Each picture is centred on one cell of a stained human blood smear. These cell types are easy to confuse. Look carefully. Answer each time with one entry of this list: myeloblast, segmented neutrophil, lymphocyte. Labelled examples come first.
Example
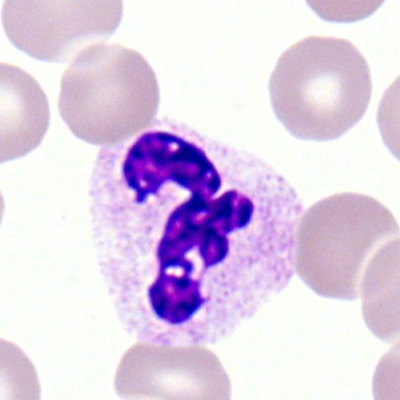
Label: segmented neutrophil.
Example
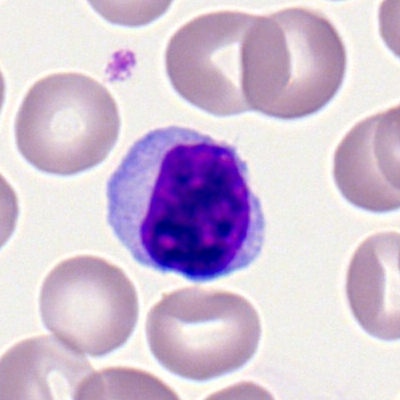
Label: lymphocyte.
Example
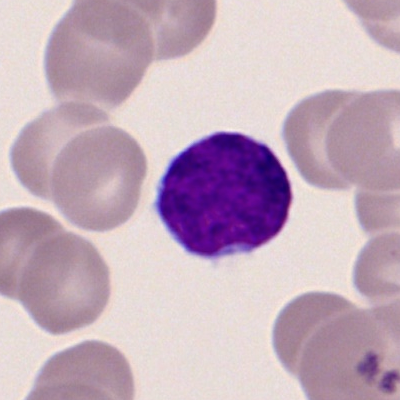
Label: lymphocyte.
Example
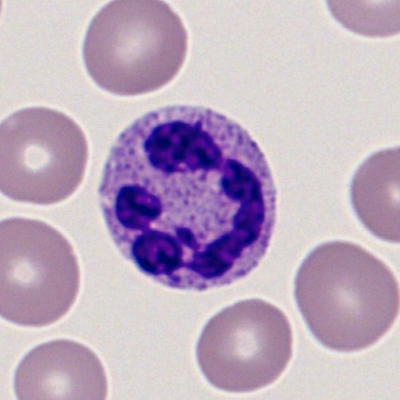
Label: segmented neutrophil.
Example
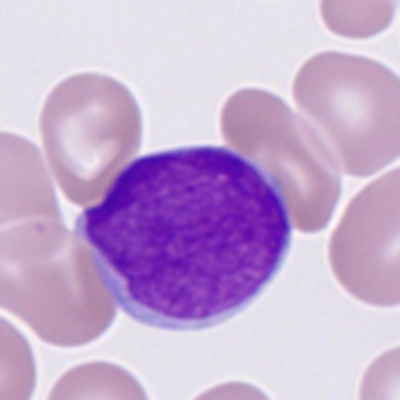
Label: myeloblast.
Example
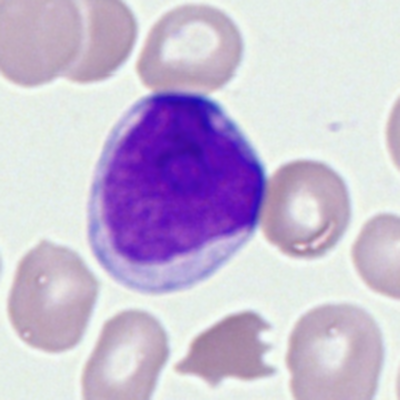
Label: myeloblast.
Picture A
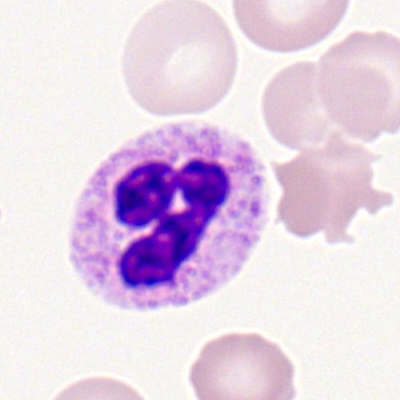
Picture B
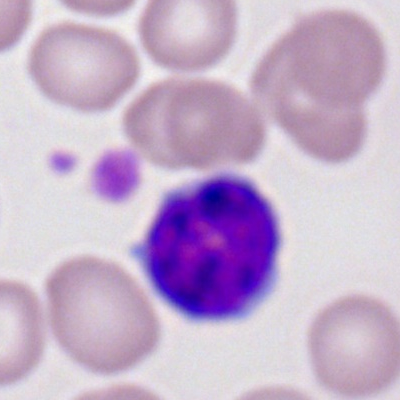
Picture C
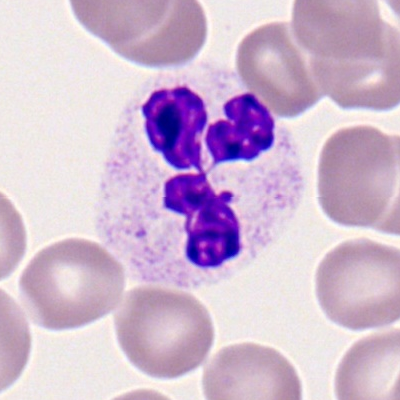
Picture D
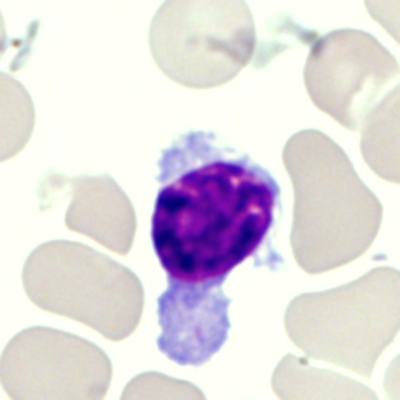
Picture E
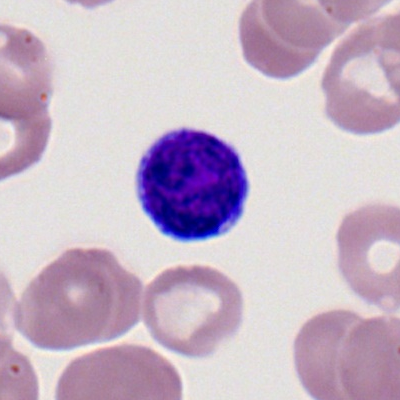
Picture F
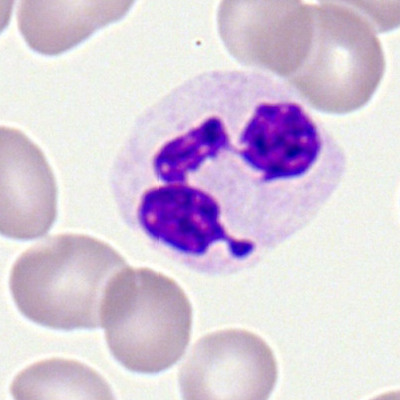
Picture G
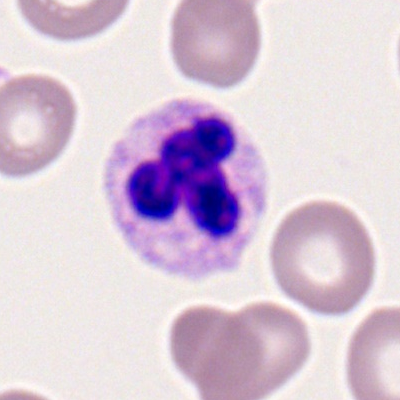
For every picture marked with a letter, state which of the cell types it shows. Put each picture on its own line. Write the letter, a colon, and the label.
A: segmented neutrophil.
B: lymphocyte.
C: segmented neutrophil.
D: lymphocyte.
E: lymphocyte.
F: segmented neutrophil.
G: segmented neutrophil.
